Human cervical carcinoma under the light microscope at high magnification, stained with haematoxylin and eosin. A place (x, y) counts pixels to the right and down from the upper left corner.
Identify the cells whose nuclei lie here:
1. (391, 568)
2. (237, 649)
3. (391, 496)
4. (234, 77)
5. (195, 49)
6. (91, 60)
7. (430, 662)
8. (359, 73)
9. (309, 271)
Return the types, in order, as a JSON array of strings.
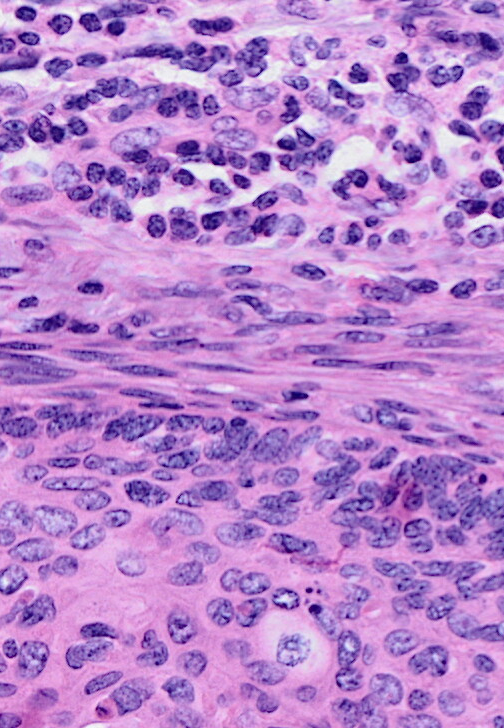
["squamous carcinoma cell", "squamous carcinoma cell", "squamous carcinoma cell", "lymphocyte", "lymphocyte", "lymphocyte", "squamous carcinoma cell", "lymphocyte", "lymphocyte"]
